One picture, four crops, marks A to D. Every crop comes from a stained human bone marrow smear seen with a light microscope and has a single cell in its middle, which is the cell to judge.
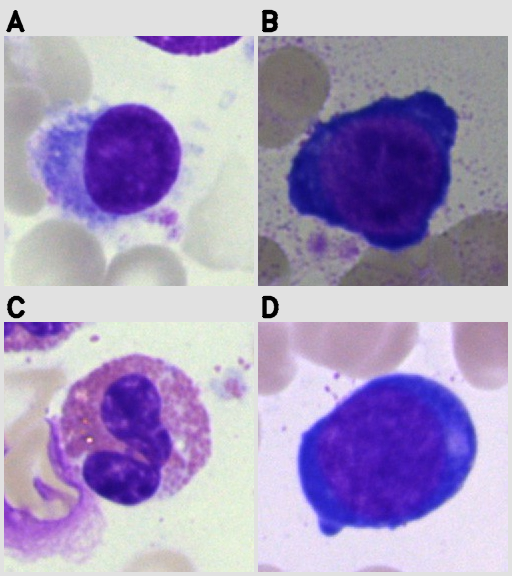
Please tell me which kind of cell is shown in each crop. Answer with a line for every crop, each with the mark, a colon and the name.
A: hairy cell
B: proerythroblast
C: eosinophil
D: proerythroblast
